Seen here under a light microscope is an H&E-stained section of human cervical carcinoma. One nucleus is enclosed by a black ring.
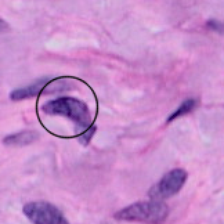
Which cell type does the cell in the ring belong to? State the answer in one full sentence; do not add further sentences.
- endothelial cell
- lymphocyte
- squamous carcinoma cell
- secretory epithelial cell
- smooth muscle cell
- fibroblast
In cell-type terms, the cell in the ring is a fibroblast.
